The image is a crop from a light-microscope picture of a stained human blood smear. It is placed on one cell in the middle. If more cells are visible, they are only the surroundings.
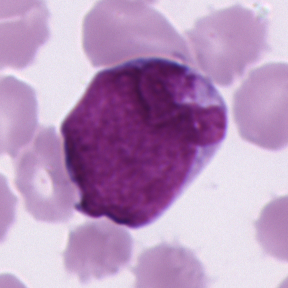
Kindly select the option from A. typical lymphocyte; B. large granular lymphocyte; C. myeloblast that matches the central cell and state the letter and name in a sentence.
Answer key: option C, the middle cell being a myeloblast.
